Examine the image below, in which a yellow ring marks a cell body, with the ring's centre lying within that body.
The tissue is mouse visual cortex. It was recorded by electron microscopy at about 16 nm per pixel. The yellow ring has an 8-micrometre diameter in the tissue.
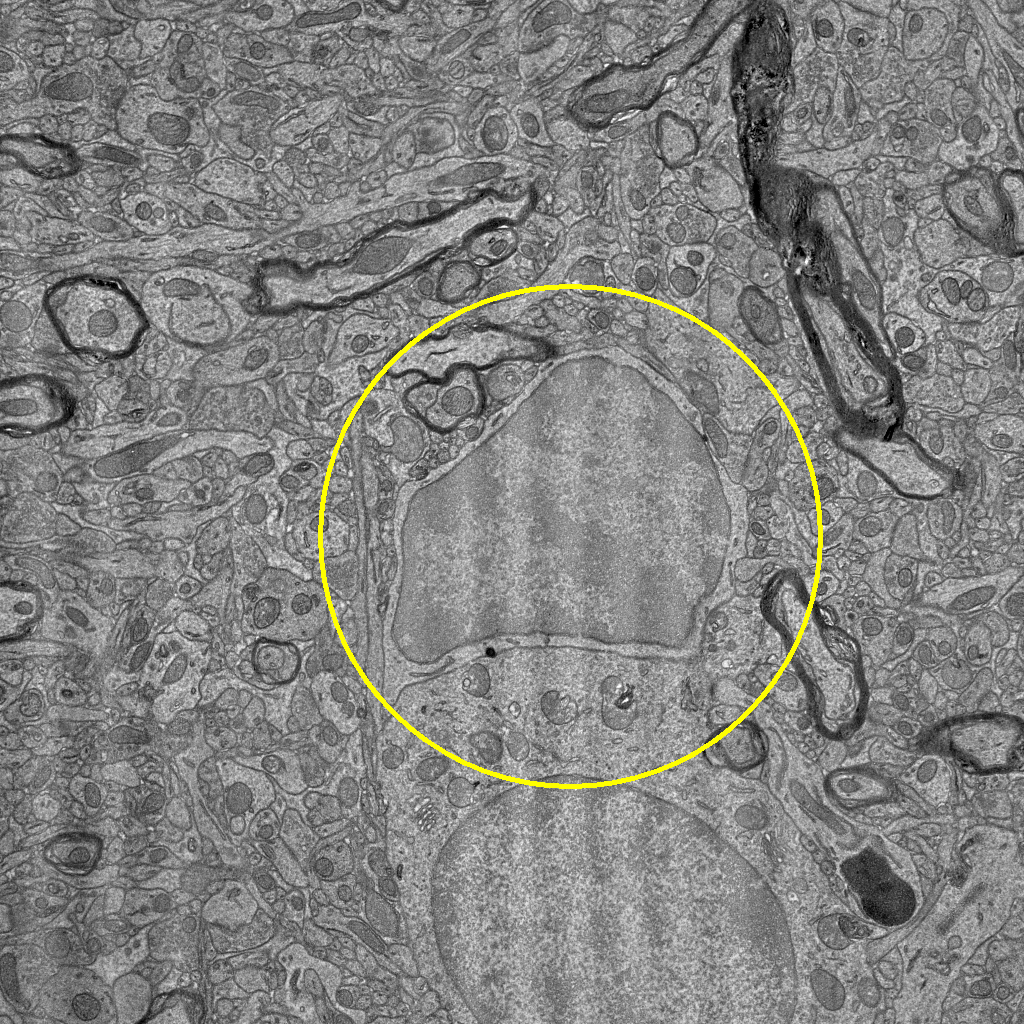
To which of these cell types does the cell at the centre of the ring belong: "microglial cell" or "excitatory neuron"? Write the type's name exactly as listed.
microglial cell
